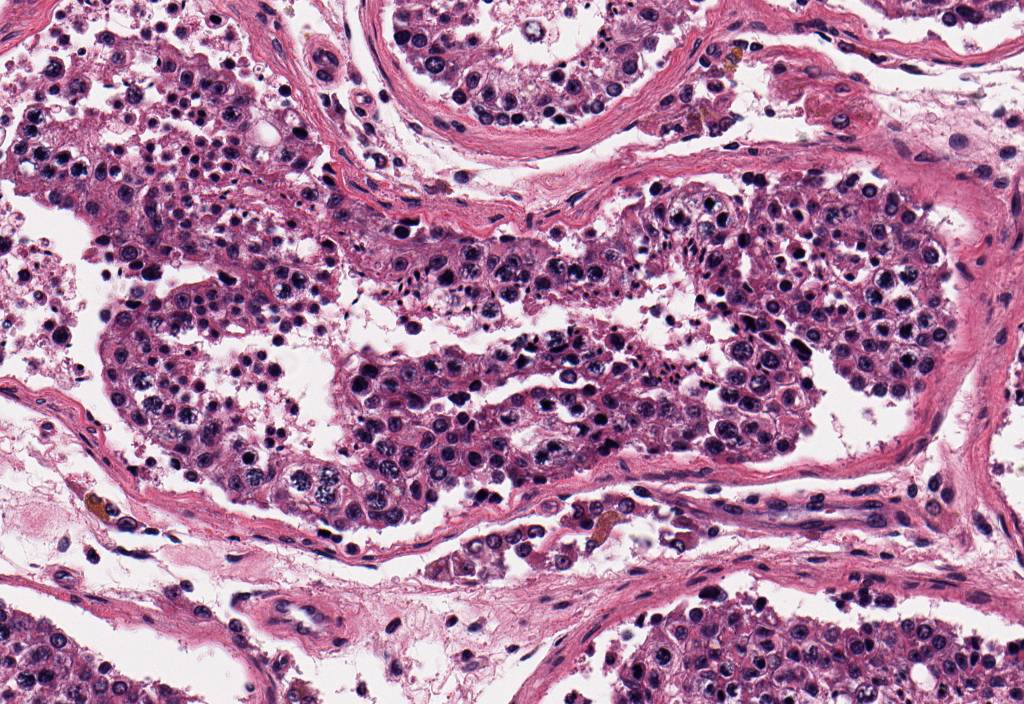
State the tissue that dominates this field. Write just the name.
seminiferous tubule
